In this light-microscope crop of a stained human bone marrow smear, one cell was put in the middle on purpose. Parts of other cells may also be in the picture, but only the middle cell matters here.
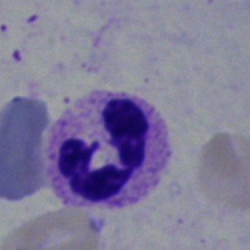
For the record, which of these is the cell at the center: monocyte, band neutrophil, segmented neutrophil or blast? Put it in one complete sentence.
The cell of interest, in the center, is a segmented neutrophil.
